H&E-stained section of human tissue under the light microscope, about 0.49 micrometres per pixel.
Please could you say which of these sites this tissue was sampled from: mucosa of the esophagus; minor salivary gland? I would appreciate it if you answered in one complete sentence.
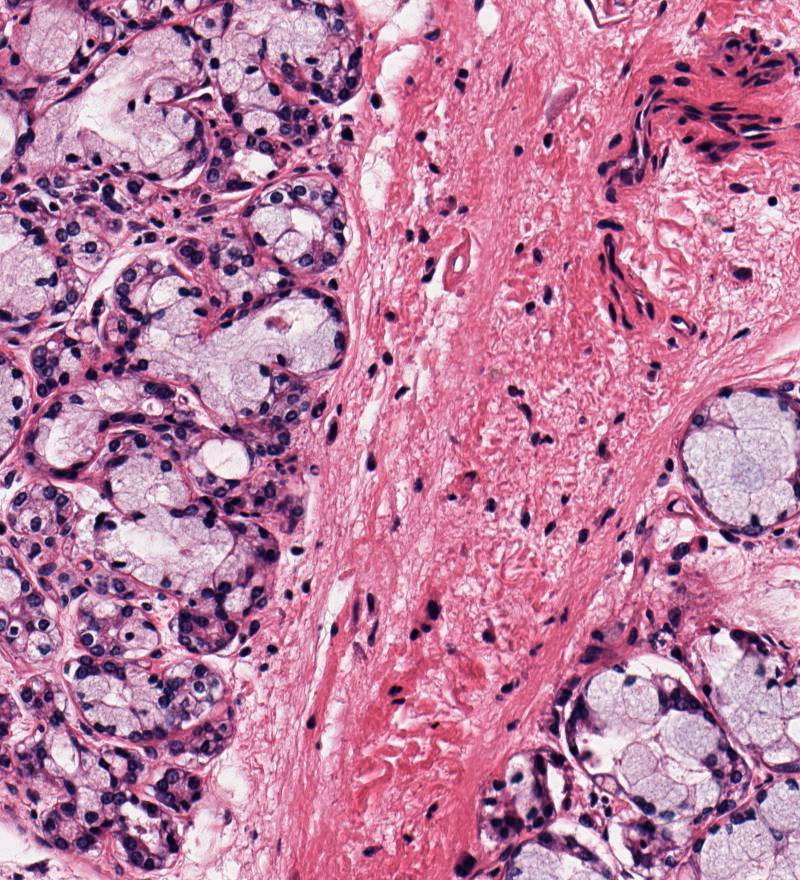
This tissue was harvested from the minor salivary gland.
